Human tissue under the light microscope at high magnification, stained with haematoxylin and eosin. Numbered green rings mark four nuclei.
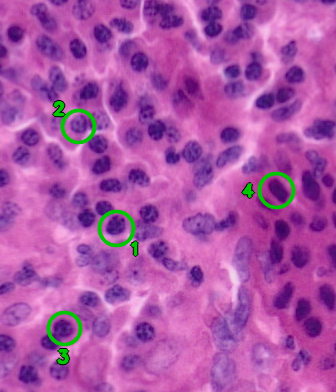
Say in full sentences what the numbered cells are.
Cell 1 is a plasma cell, cell 2 is a plasma cell, cell 3 is a plasma cell and cell 4 is a squamous epithelial cell.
